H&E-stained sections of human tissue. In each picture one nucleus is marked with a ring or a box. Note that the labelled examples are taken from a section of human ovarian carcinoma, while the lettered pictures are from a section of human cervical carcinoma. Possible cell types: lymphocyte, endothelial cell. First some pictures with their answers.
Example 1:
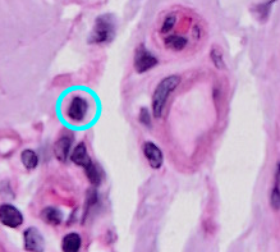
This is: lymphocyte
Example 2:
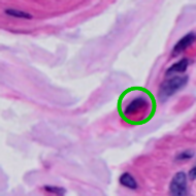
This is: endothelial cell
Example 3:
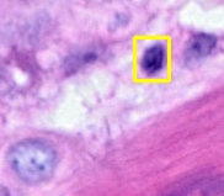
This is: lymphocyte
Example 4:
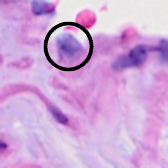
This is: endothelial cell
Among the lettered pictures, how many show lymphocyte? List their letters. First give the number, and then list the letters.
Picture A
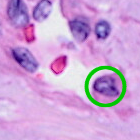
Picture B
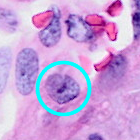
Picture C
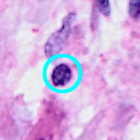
1: C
